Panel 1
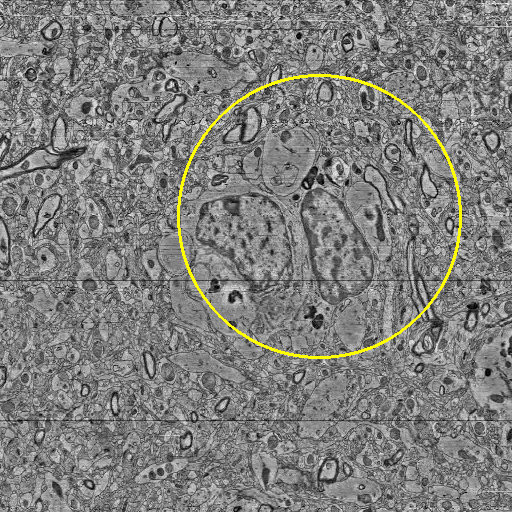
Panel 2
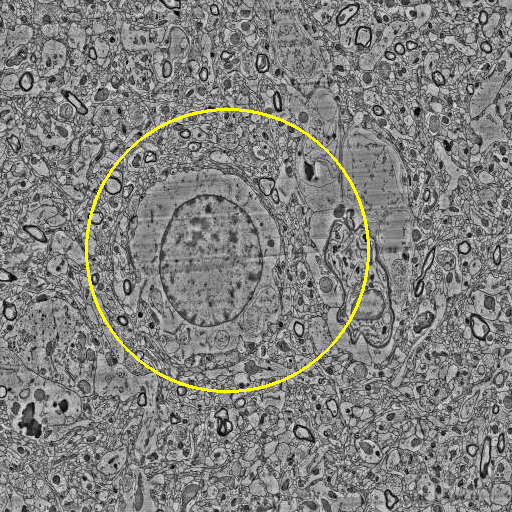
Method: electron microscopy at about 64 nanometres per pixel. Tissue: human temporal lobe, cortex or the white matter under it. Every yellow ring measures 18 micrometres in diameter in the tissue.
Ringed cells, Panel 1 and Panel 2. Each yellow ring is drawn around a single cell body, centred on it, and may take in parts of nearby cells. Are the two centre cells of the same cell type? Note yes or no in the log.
no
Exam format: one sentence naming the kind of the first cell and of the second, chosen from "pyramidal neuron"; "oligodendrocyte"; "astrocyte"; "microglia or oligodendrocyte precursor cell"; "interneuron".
The first picture's cell is a microglial cell or oligodendrocyte precursor cell, and the second picture's cell is an astrocyte.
